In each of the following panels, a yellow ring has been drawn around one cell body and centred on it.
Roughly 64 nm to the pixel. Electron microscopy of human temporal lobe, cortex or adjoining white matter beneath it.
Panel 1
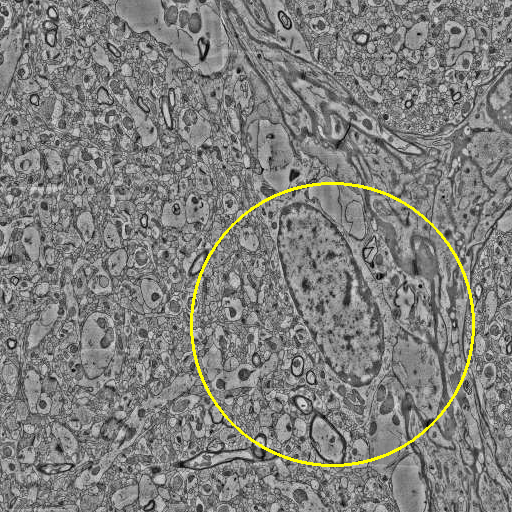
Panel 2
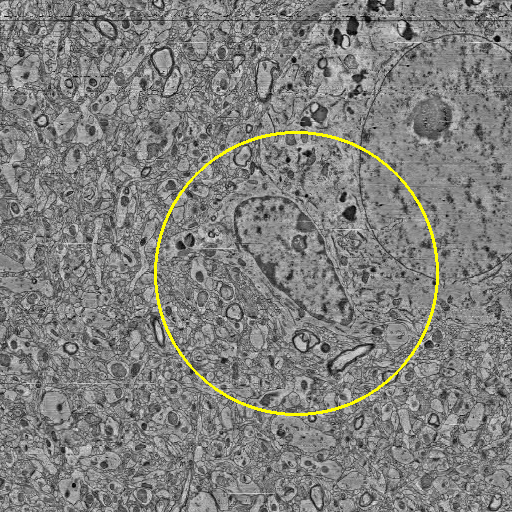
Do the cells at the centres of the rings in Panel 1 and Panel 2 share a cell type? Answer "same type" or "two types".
same type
